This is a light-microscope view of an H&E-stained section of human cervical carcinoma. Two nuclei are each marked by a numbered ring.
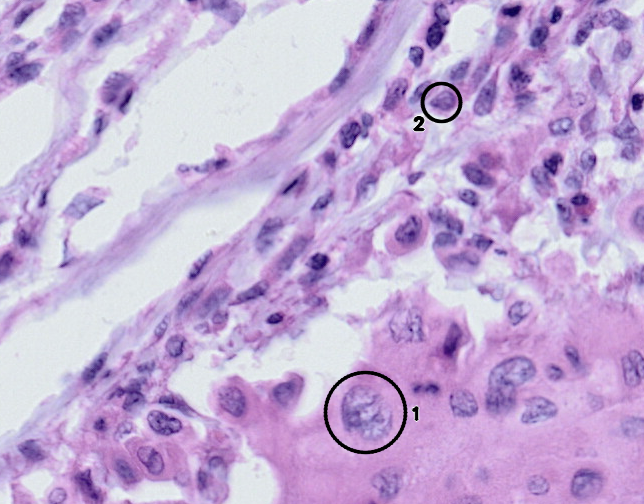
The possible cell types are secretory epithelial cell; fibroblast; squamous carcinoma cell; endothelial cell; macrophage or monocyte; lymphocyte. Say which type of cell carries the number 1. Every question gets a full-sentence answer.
The identity of cell 1 is that of a squamous carcinoma cell.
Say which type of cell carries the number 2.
Cell 2, among those numbered, is a macrophage or monocyte.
